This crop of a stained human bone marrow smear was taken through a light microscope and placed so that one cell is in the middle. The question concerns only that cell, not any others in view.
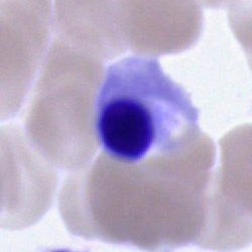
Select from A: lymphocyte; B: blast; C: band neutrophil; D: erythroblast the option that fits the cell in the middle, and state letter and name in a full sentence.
Option D gets it right: the cell in the middle is an erythroblast.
